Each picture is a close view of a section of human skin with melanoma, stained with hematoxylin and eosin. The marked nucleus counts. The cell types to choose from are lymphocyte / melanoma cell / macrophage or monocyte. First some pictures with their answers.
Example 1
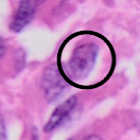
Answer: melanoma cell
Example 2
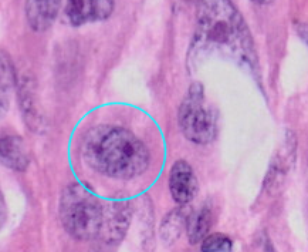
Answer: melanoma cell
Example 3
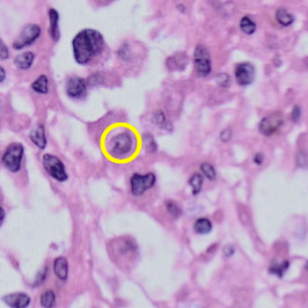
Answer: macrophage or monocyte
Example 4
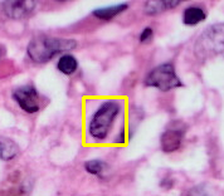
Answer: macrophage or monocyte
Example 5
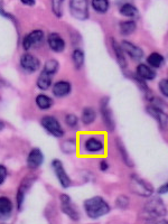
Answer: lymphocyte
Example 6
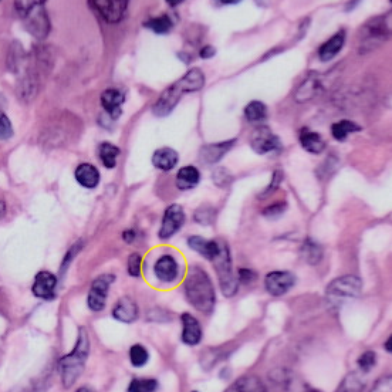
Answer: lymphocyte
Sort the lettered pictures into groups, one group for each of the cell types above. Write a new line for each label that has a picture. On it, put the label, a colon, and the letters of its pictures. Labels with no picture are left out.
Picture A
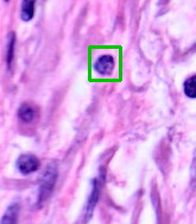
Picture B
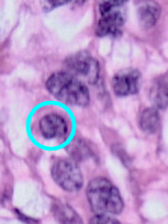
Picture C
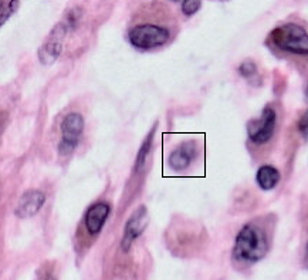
lymphocyte: A
melanoma cell: B
macrophage or monocyte: C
